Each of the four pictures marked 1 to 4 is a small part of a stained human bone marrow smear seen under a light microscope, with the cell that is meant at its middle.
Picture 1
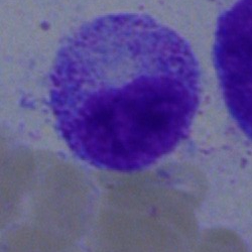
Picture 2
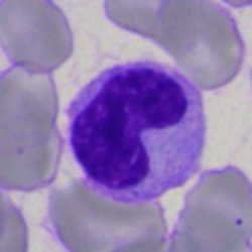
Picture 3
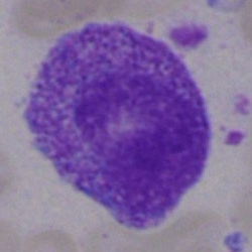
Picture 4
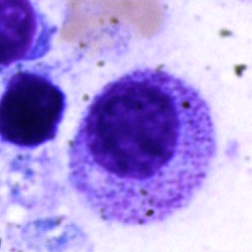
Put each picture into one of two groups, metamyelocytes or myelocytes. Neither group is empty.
1: myelocyte
2: metamyelocyte
3: myelocyte
4: myelocyte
